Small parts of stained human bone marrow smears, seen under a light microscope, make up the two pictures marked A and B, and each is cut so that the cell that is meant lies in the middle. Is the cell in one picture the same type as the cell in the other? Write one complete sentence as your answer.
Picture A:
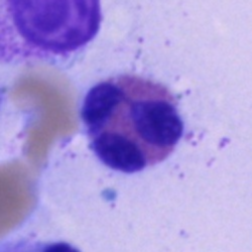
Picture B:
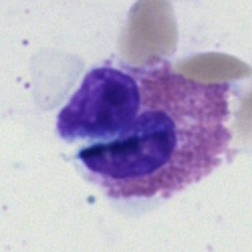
Yes; the cells in both pictures are eosinophils.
